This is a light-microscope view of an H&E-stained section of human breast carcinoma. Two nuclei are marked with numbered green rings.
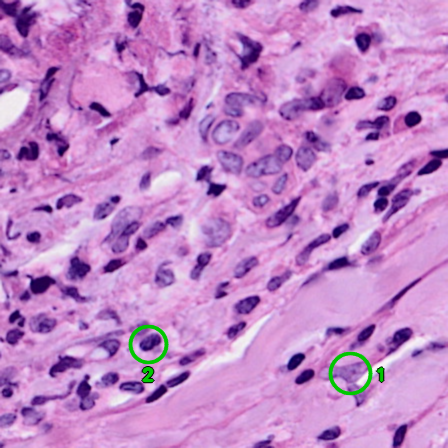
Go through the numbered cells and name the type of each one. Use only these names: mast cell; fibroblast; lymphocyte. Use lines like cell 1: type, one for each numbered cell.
cell 1: fibroblast
cell 2: lymphocyte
